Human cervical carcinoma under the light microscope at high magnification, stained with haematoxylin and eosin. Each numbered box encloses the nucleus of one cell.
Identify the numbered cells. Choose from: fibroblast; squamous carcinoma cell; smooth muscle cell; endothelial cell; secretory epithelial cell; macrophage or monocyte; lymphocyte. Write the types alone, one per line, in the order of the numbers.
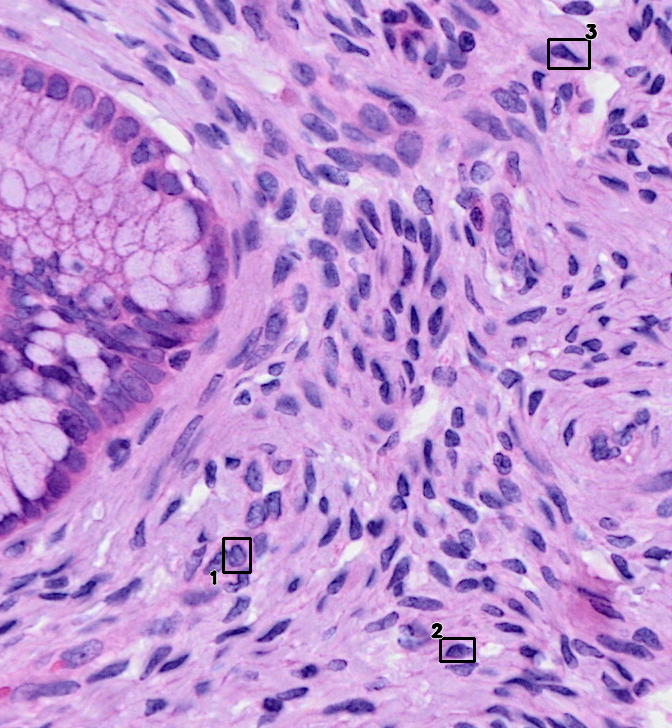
endothelial cell
fibroblast
fibroblast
